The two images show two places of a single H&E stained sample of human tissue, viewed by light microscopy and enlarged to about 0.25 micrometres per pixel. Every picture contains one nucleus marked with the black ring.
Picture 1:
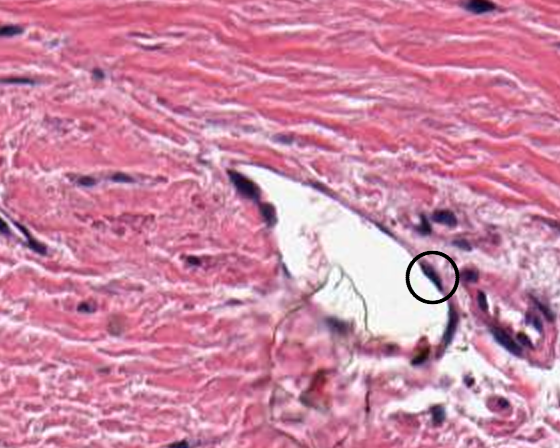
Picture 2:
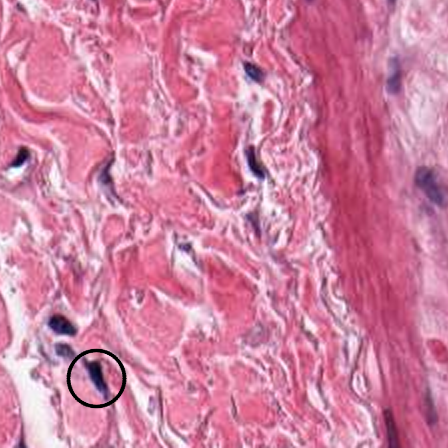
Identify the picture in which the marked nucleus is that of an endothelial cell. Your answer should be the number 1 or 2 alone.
1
